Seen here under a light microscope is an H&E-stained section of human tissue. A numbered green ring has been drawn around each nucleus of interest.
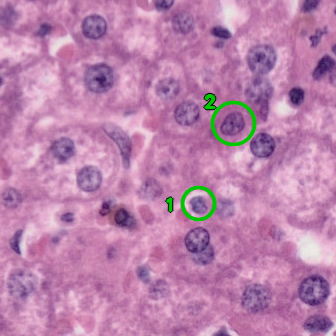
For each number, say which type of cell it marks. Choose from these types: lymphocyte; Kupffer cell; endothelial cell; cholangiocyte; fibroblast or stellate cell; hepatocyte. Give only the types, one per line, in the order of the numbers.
lymphocyte
hepatocyte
